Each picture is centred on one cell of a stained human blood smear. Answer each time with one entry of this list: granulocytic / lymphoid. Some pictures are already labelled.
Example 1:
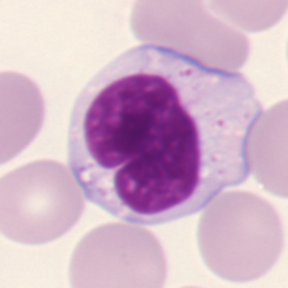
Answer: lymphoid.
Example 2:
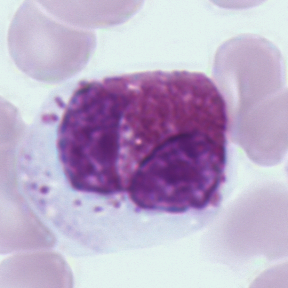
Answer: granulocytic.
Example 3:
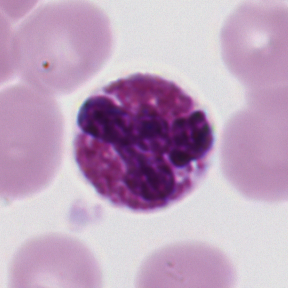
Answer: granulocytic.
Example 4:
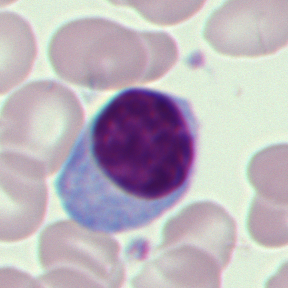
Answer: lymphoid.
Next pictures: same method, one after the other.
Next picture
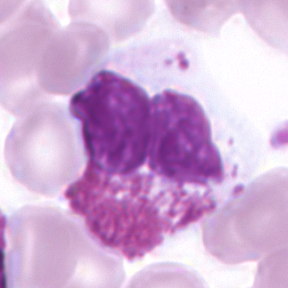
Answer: granulocytic.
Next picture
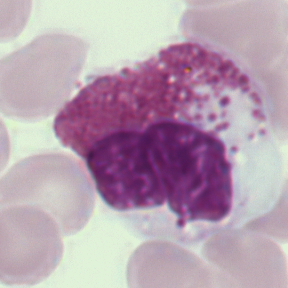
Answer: granulocytic.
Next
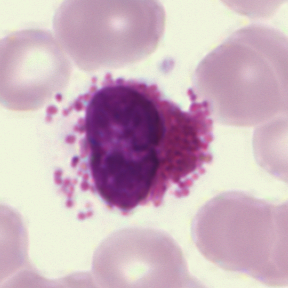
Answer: granulocytic.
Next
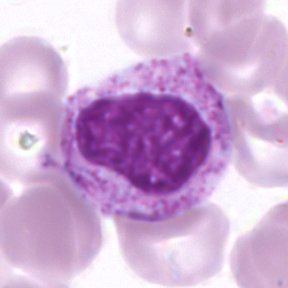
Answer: granulocytic.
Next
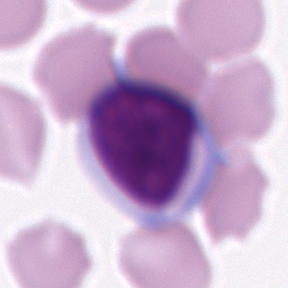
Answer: lymphoid.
